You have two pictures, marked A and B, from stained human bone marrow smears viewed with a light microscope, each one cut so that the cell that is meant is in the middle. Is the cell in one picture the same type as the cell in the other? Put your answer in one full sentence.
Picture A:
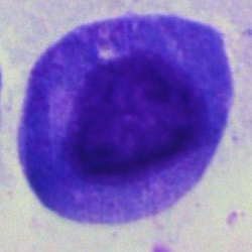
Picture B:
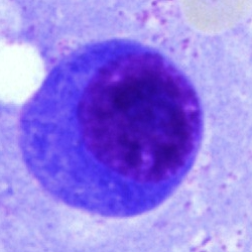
No, they differ: the cell is a myelocyte in picture A and a plasma cell in picture B.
